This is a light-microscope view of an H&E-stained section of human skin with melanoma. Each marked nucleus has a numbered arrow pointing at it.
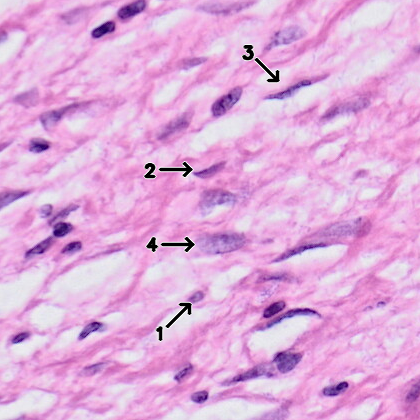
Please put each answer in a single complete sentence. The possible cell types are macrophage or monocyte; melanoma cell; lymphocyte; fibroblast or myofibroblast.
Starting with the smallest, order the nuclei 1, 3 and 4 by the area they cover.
The order from the smallest nucleus to the largest is 1, 3, 4.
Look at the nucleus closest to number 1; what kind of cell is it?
The cell nearest to number 1 is a fibroblast or myofibroblast.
